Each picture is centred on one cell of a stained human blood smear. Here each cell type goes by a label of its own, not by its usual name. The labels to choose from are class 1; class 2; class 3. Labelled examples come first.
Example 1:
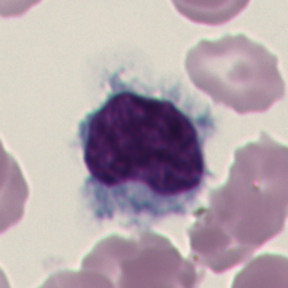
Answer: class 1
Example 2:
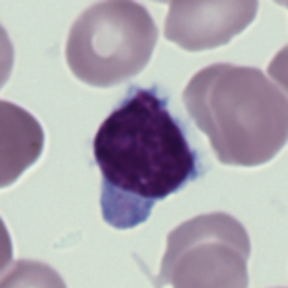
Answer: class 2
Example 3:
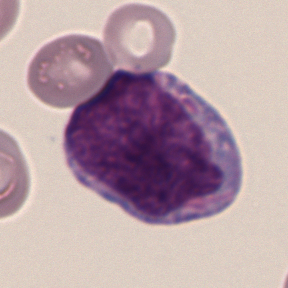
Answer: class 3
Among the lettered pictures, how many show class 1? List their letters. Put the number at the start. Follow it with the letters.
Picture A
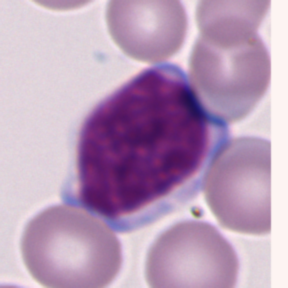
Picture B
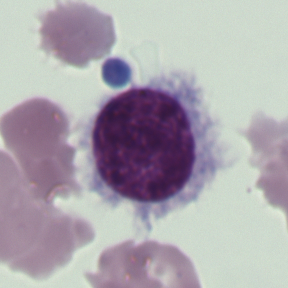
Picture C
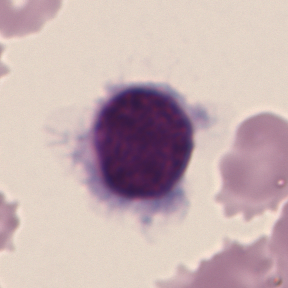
2, namely B, C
